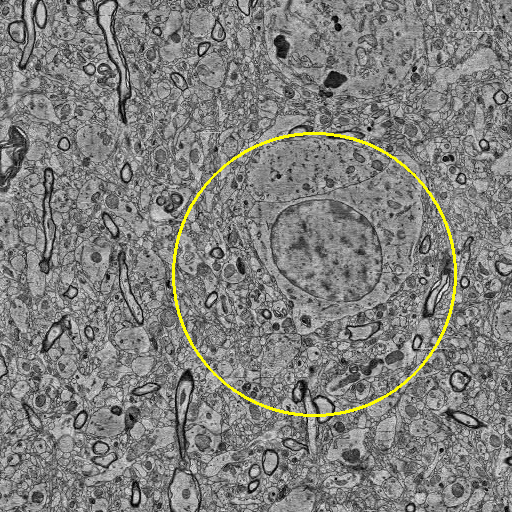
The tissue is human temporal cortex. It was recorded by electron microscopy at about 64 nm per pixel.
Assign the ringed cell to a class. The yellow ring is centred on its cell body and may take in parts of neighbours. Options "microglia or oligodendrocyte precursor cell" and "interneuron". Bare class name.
microglia or oligodendrocyte precursor cell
